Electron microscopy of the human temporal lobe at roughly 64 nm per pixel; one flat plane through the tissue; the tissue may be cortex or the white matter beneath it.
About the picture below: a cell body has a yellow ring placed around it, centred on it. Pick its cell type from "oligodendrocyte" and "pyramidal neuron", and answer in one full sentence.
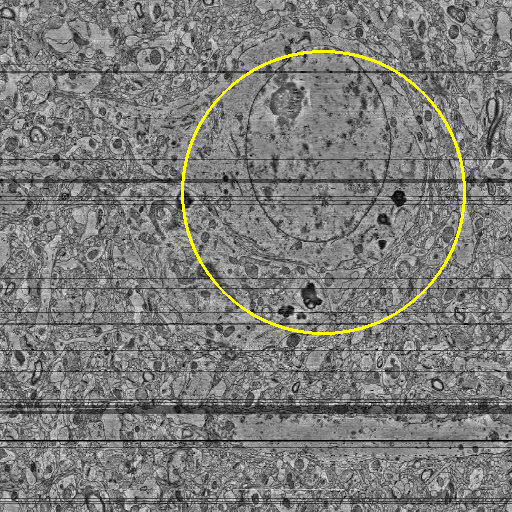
In the picture, a pyramidal neuron is the cell sitting at the centre of the yellow ring.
